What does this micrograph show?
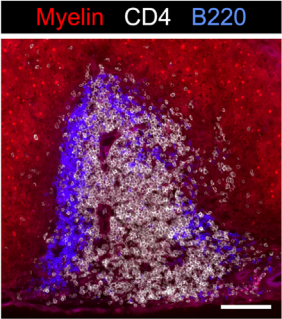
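The aggregate forms a roughly triangular mass of tightly packed small round cells that pushes into the red-stained white matter. Scattered white cells also spread beyond the cluster into the surrounding red tissue.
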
